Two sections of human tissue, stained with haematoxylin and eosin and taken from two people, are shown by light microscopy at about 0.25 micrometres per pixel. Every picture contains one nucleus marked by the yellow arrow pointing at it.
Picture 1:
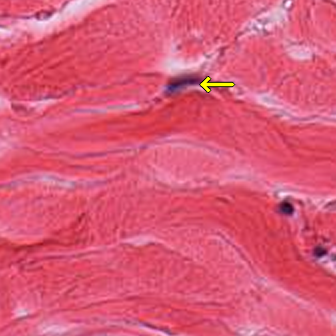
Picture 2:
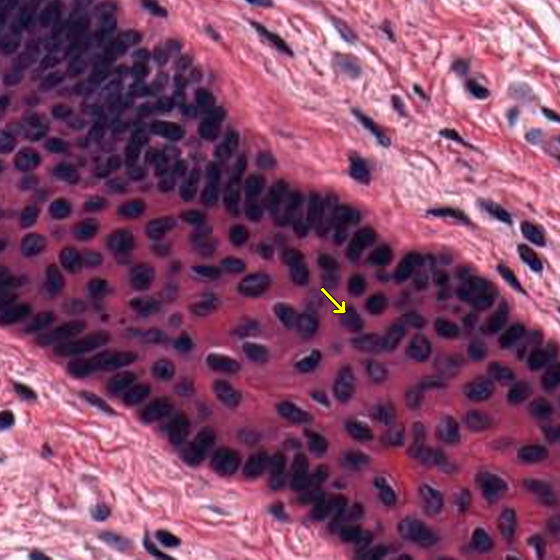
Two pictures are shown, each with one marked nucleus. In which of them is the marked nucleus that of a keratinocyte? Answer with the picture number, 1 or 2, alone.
2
